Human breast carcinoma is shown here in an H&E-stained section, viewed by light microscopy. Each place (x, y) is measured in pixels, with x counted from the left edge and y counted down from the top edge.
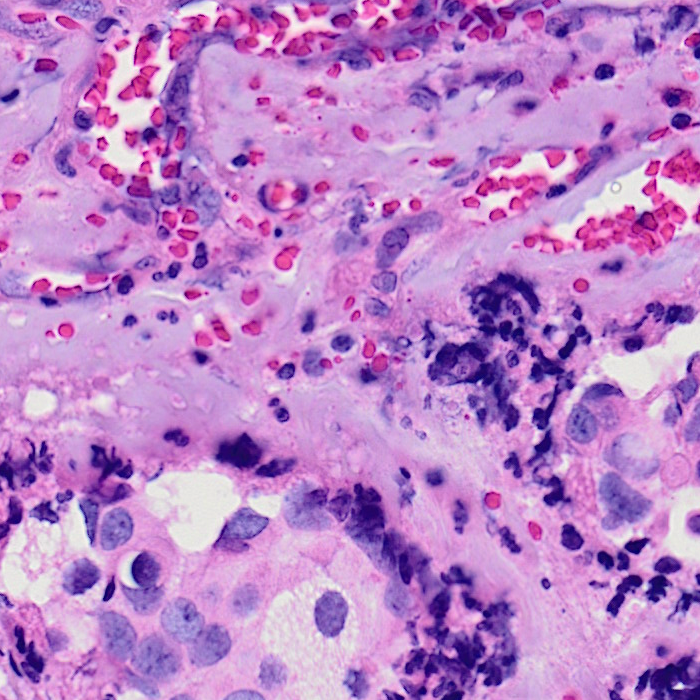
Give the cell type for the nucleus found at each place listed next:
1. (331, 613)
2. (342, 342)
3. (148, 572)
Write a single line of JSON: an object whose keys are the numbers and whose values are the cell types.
{"1": "carcinoma cell", "2": "lymphocyte", "3": "carcinoma cell"}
